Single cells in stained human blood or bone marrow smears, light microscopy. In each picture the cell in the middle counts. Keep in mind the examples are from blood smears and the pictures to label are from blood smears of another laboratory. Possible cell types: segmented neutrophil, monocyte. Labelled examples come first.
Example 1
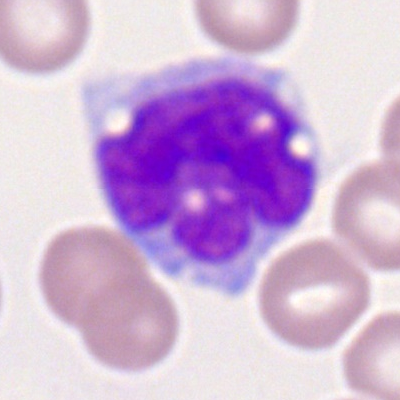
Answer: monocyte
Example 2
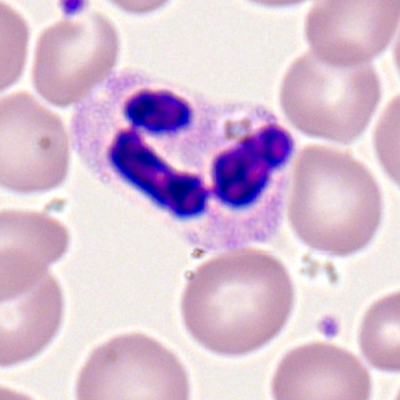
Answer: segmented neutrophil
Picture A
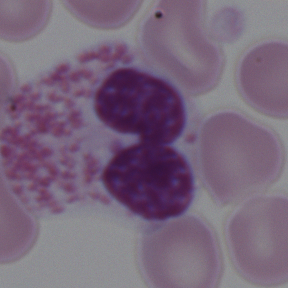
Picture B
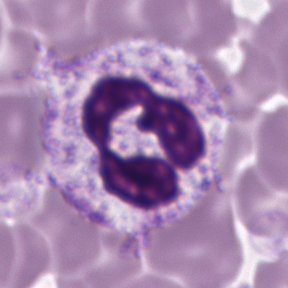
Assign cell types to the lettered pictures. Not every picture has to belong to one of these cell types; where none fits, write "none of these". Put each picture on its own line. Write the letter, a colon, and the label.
A: none of these
B: segmented neutrophil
